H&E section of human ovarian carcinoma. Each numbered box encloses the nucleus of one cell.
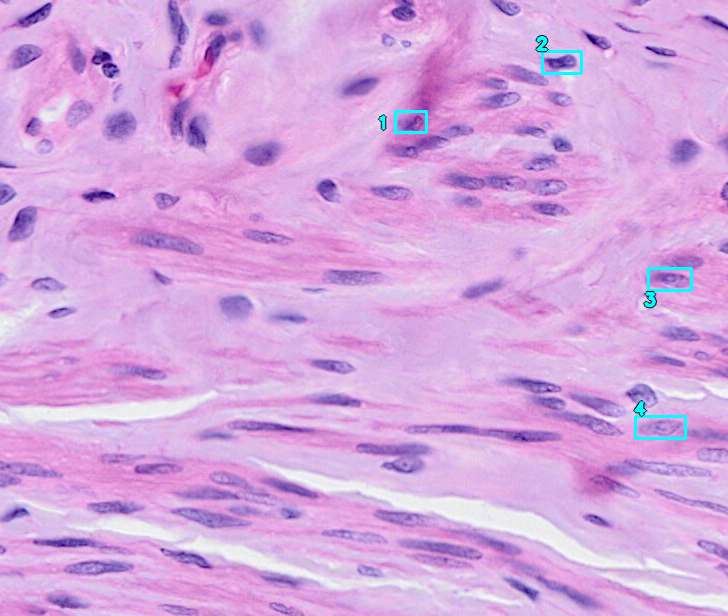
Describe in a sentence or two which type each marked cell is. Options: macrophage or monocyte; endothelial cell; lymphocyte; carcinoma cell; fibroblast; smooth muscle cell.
Cell 1 is a smooth muscle cell, cell 2 is a fibroblast, cell 3 is a smooth muscle cell and cell 4 is a smooth muscle cell.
